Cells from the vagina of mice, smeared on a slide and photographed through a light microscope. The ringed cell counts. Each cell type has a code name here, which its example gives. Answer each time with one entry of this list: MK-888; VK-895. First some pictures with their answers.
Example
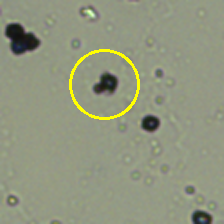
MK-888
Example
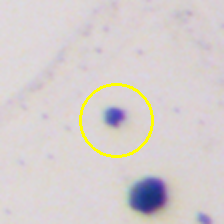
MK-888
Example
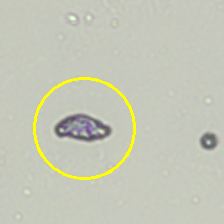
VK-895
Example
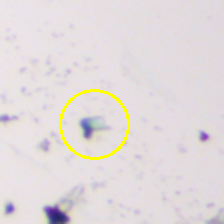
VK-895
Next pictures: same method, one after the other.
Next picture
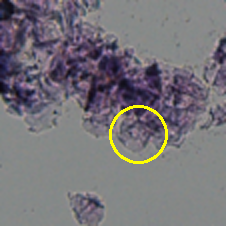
VK-895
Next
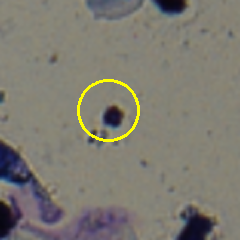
MK-888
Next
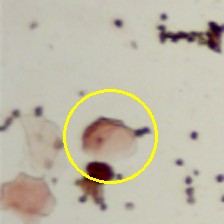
VK-895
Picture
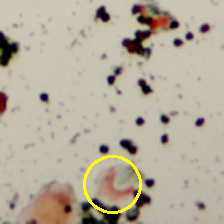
VK-895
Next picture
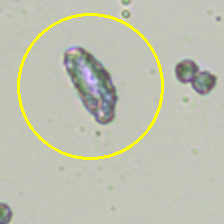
VK-895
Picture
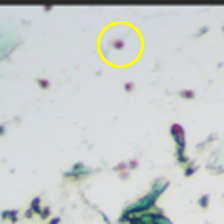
MK-888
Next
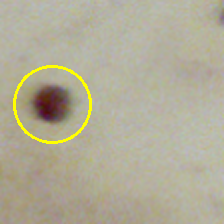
MK-888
